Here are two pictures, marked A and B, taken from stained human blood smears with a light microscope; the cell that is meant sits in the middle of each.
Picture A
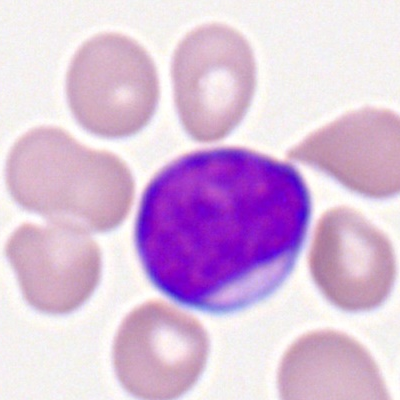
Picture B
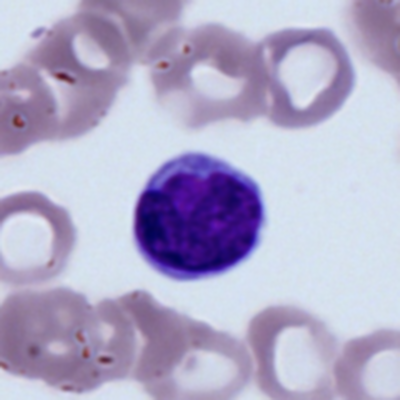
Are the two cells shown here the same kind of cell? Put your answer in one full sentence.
No; the cell in picture A is a myeloblast, while the one in picture B is a lymphocyte.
